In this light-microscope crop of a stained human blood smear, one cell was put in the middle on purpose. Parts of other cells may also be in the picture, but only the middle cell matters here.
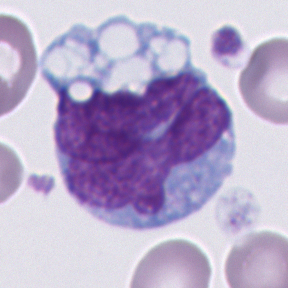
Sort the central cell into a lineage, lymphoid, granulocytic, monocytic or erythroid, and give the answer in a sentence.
The cell held in the center of the crop belongs to the monocytic lineage.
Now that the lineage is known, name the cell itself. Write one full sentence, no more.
The cell sitting right in the middle is a monocyte.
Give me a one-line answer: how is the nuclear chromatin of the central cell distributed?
The chromatin is fine throughout, without coarse clumps.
